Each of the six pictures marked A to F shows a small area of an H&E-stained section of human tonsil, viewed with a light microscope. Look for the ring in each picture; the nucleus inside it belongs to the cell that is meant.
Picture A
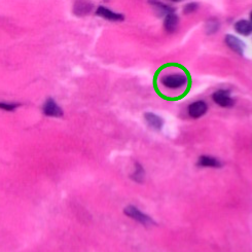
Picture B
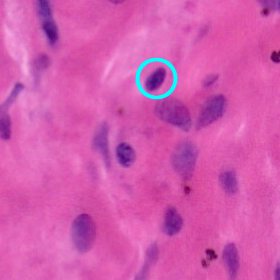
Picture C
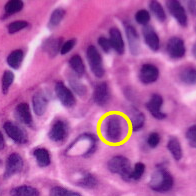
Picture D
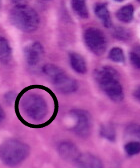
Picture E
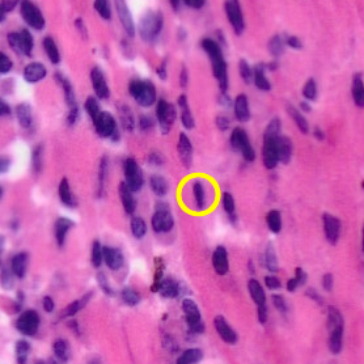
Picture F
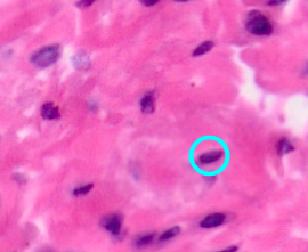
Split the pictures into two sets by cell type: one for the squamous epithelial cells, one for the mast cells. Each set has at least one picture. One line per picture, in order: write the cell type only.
mast cell
mast cell
squamous epithelial cell
squamous epithelial cell
mast cell
mast cell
